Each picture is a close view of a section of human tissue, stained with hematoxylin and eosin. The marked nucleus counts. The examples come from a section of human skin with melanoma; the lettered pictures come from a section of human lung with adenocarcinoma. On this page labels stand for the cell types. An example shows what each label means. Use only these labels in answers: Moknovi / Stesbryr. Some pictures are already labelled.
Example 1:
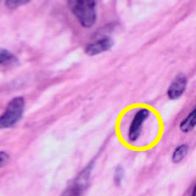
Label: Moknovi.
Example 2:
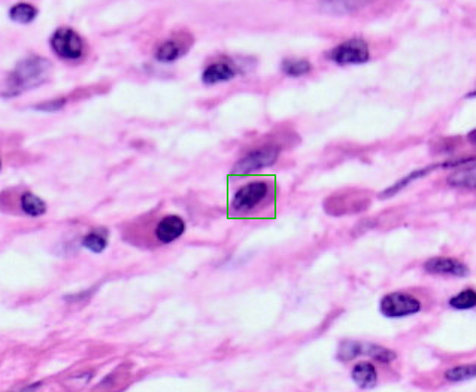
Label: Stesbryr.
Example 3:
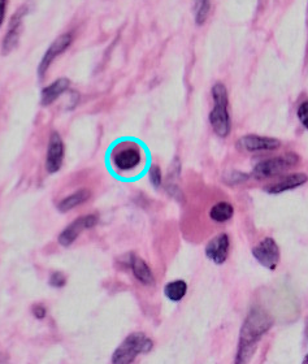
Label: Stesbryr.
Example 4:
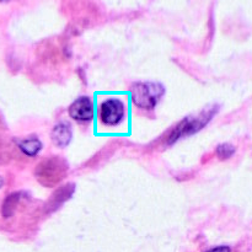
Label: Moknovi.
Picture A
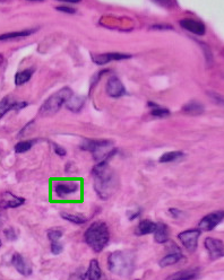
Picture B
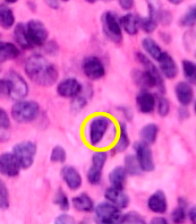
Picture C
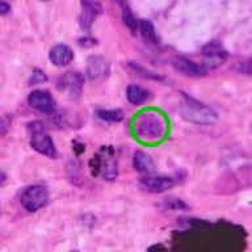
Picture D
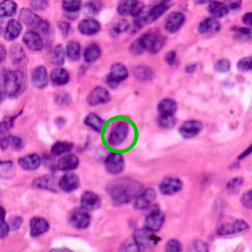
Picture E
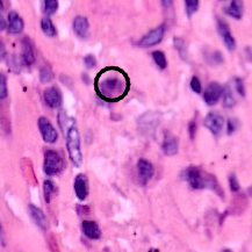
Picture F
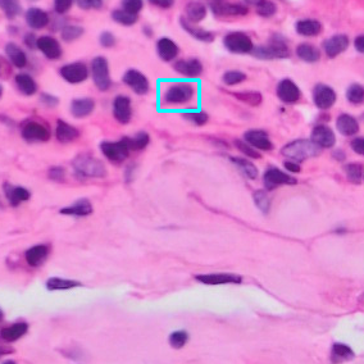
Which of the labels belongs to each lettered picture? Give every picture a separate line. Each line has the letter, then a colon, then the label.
A: Stesbryr.
B: Moknovi.
C: Stesbryr.
D: Moknovi.
E: Stesbryr.
F: Moknovi.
